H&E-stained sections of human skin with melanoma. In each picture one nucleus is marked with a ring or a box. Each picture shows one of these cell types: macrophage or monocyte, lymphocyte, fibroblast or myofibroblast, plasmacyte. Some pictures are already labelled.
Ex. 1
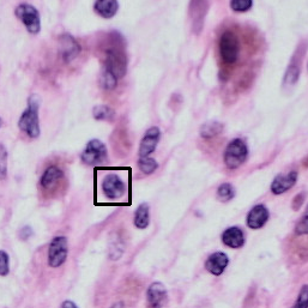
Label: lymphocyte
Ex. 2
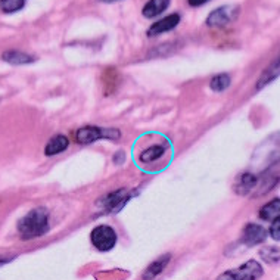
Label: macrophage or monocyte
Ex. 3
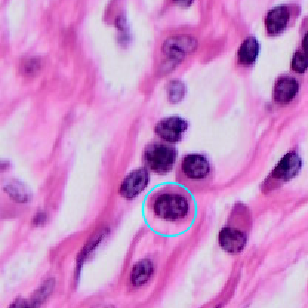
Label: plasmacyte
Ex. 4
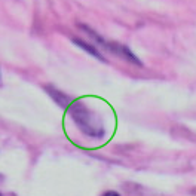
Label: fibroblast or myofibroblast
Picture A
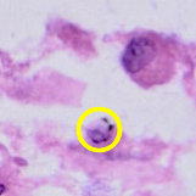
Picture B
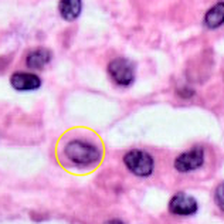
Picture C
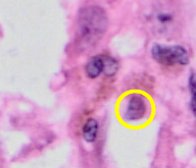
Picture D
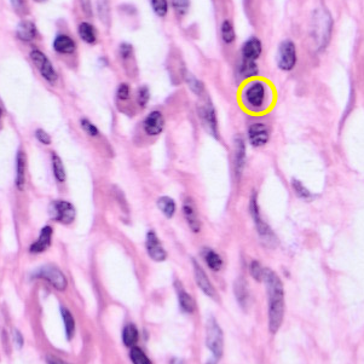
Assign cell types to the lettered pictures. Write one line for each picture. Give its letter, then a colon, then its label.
A: macrophage or monocyte
B: macrophage or monocyte
C: macrophage or monocyte
D: plasmacyte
